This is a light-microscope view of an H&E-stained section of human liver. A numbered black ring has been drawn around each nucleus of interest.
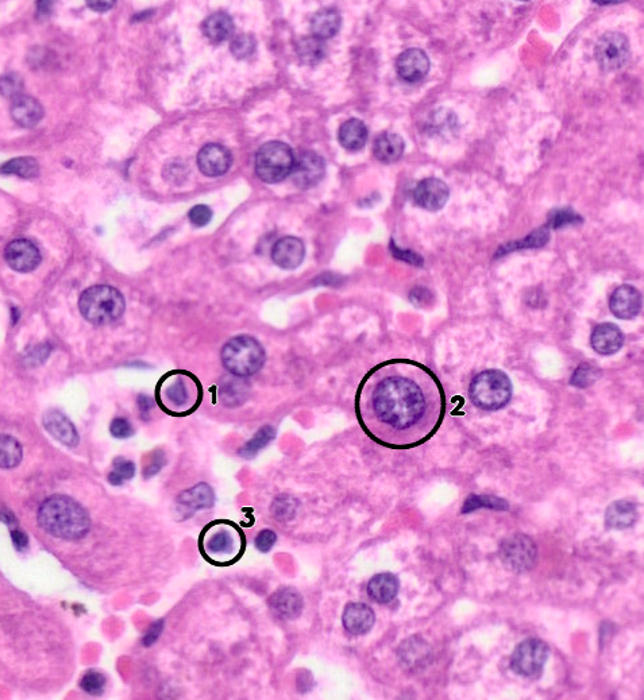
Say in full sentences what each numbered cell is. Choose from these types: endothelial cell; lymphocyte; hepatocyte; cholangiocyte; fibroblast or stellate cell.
Cell 1 is a fibroblast or stellate cell, cell 2 is a hepatocyte and cell 3 is a lymphocyte.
